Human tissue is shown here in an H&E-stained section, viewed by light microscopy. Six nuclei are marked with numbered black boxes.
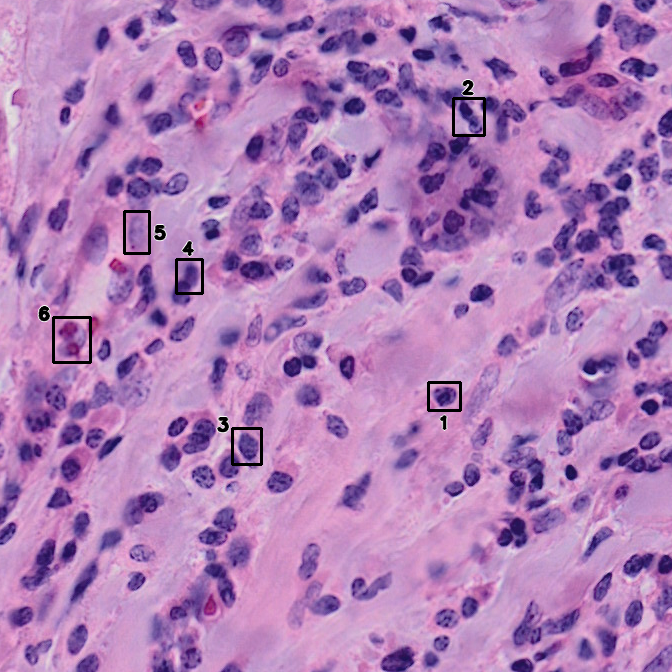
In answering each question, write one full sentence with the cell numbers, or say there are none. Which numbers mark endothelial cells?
The cells marked with the numbers 5 and 6 are endothelial cells.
